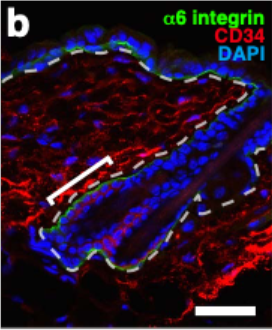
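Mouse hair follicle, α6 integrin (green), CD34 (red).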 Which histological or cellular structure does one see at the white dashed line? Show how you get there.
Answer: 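The dashed line runs around the follicle epithelium, separating the densely nucleated epithelium from the surrounding red-stained tissue. On this evidence: epidermal-dermal borders.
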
